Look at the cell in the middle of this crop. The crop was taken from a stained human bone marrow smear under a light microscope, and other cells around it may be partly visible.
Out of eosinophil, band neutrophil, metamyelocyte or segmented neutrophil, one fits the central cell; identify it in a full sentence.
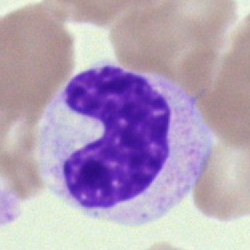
The cell the crop is centered on is a band neutrophil.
